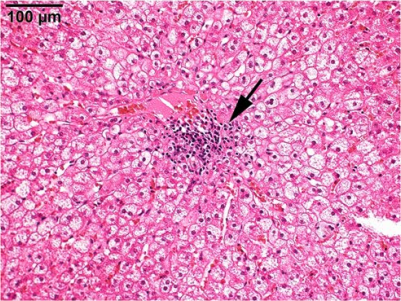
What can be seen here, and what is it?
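Liver parenchyma in which the hepatocytes are swollen, with pale, clear, vacuolated cytoplasm and sharply drawn pink cell borders. Round central nuclei are kept in most cells, while the sinusoids between the plates are narrowed and hard to make out. Near a vessel with red blood cells lies a dense focus of small cells with dark round nuclei and scant cytoplasm. The normal radial arrangement of the hepatocyte plates is obscured.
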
